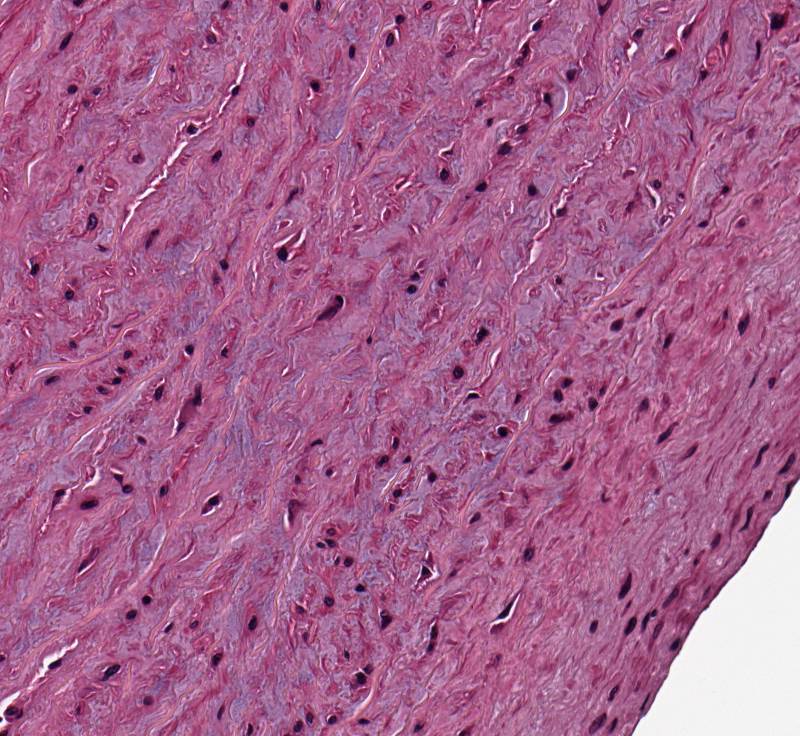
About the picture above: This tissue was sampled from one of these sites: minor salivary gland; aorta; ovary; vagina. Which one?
aorta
